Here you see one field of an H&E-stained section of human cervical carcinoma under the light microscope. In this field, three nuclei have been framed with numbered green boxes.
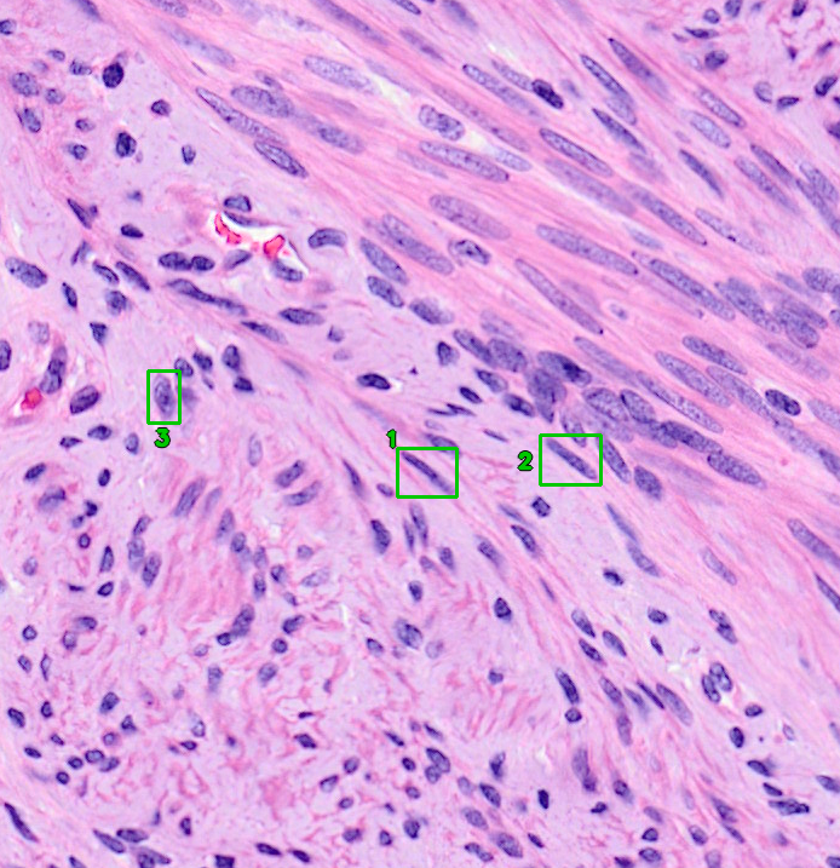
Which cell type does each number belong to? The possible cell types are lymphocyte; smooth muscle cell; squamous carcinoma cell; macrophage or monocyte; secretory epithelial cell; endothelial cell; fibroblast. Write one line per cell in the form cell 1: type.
cell 1: smooth muscle cell
cell 2: fibroblast
cell 3: fibroblast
